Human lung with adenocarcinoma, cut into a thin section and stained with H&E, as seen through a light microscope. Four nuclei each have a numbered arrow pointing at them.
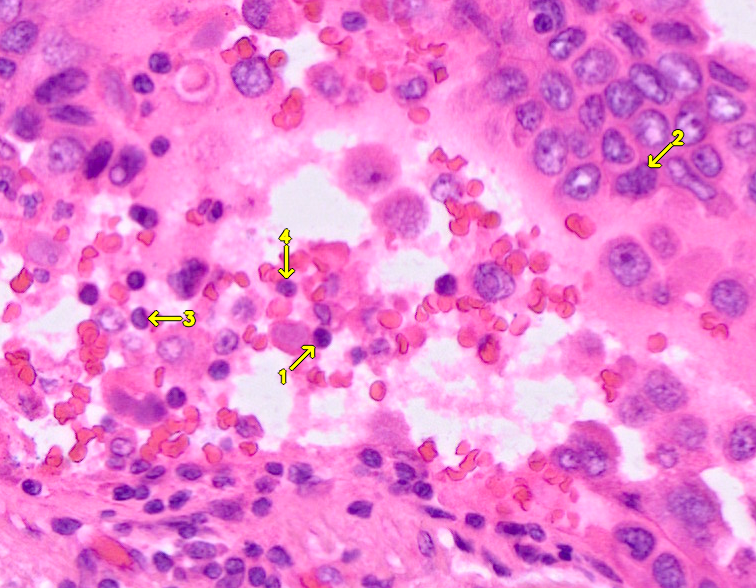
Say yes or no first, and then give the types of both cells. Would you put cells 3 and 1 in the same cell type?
Yes, both cell 3 and cell 1 are classified as lymphocytes.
